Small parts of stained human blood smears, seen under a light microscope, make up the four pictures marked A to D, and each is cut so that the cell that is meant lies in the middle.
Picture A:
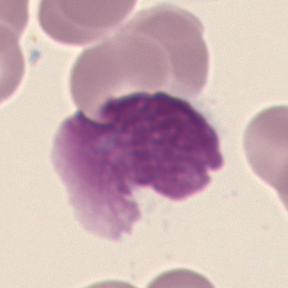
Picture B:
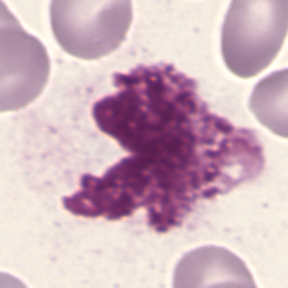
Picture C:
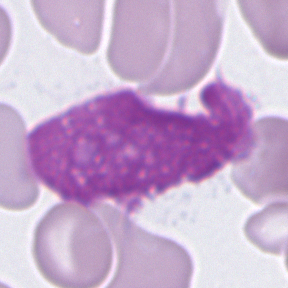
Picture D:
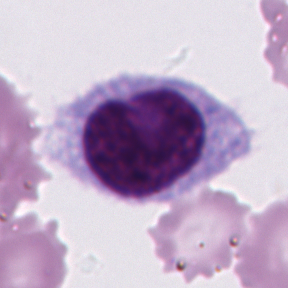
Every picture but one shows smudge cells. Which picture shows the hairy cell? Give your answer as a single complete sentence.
It is picture D that shows the hairy cell.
